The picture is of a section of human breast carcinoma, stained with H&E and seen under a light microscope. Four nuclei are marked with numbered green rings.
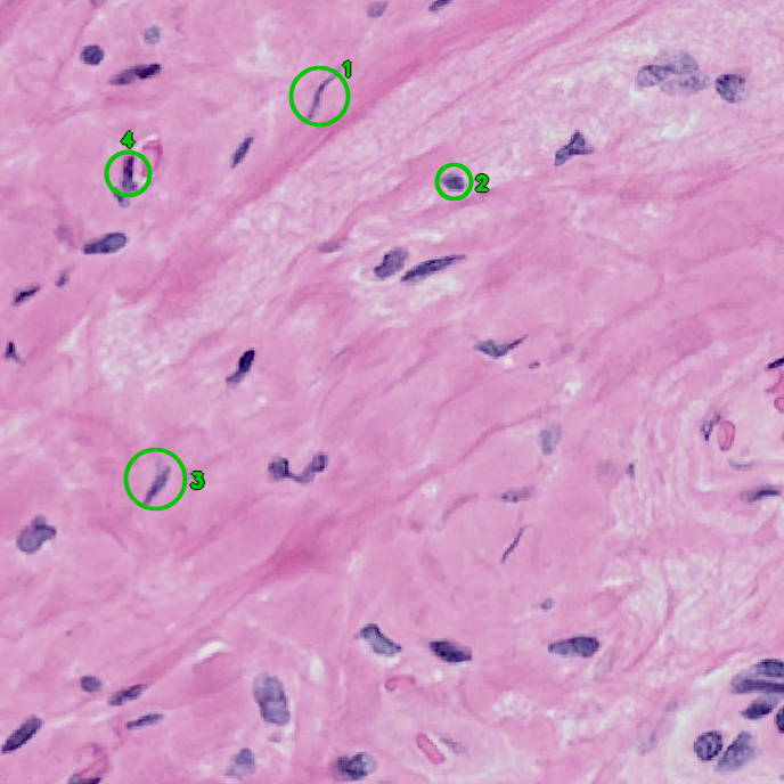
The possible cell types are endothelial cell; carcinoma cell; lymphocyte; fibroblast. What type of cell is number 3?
fibroblast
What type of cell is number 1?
fibroblast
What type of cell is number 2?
lymphocyte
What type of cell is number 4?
endothelial cell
